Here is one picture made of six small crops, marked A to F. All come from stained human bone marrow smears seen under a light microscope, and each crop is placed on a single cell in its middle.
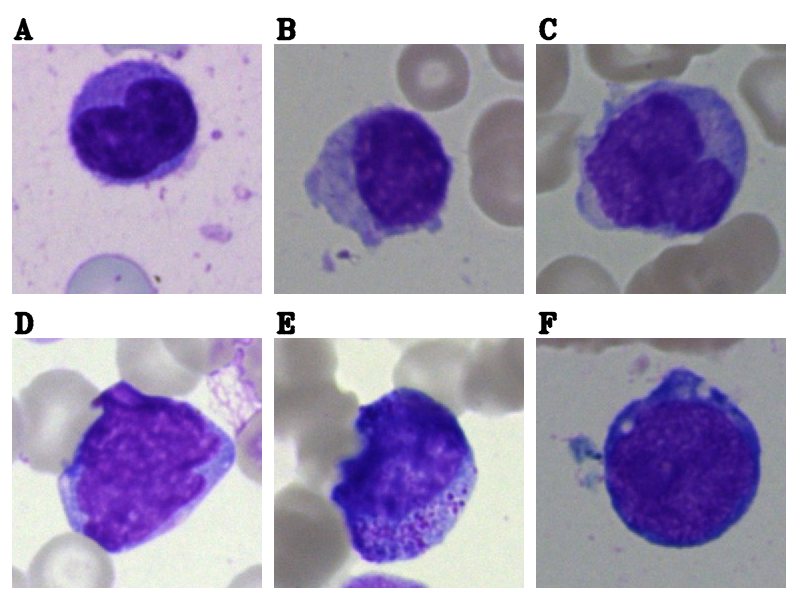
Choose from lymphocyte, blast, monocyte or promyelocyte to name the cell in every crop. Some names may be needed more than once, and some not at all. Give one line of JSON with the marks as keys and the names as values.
{"A": "monocyte", "B": "lymphocyte", "C": "monocyte", "D": "blast", "E": "promyelocyte", "F": "blast"}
